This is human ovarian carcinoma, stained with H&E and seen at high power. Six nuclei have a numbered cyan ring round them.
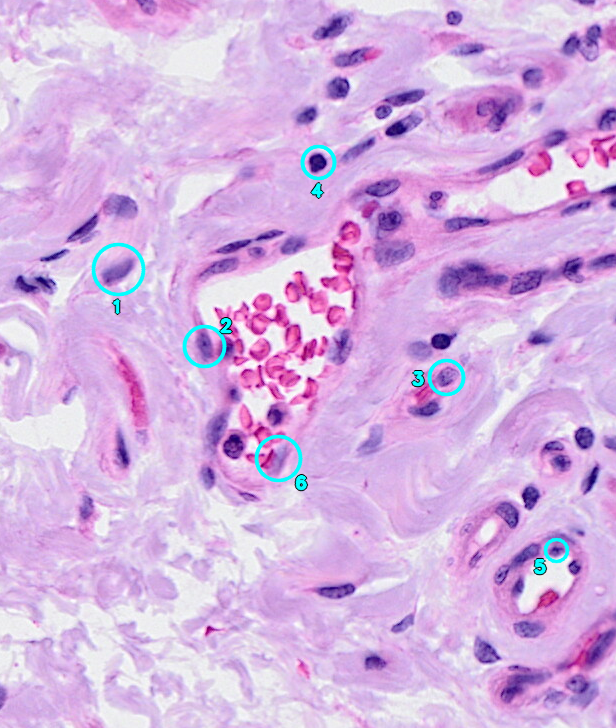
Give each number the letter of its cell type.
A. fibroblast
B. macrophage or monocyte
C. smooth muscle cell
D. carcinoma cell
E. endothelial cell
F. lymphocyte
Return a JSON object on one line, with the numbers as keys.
{"1": "A", "2": "E", "3": "E", "4": "F", "5": "E", "6": "E"}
